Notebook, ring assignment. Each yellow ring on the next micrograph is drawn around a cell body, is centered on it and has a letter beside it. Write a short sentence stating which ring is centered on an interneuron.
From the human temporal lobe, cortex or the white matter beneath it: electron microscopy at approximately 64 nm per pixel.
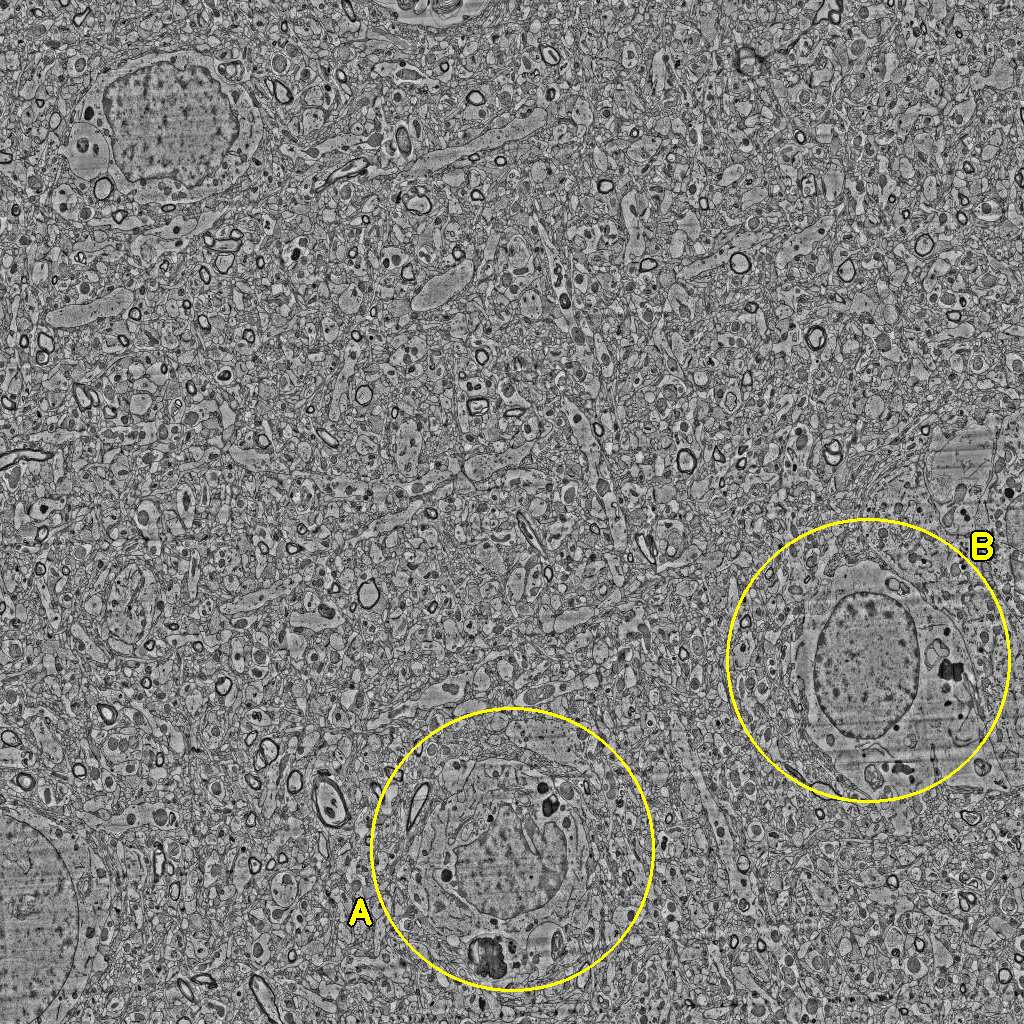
Ring A is centered on it.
